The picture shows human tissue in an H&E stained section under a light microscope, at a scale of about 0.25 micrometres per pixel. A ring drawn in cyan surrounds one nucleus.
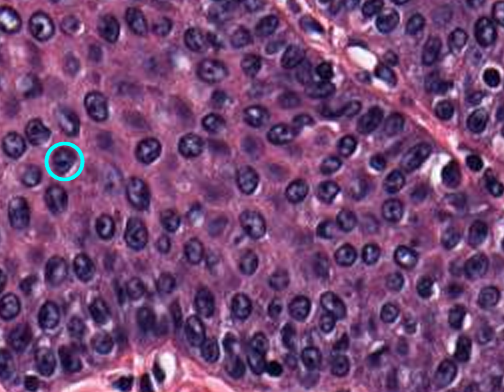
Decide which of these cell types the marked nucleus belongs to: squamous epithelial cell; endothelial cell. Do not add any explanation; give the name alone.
squamous epithelial cell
